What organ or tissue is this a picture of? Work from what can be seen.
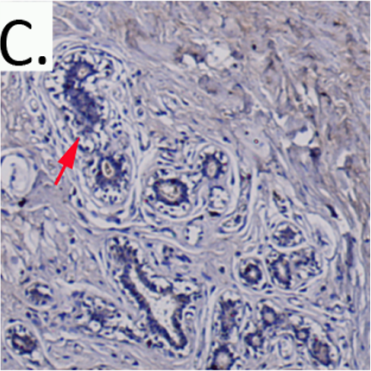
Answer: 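Normal breast tissues. Small round ducts and acini with open lumens are grouped in lobule-like clusters. The ducts are surrounded by abundant pale fibrous stroma.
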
